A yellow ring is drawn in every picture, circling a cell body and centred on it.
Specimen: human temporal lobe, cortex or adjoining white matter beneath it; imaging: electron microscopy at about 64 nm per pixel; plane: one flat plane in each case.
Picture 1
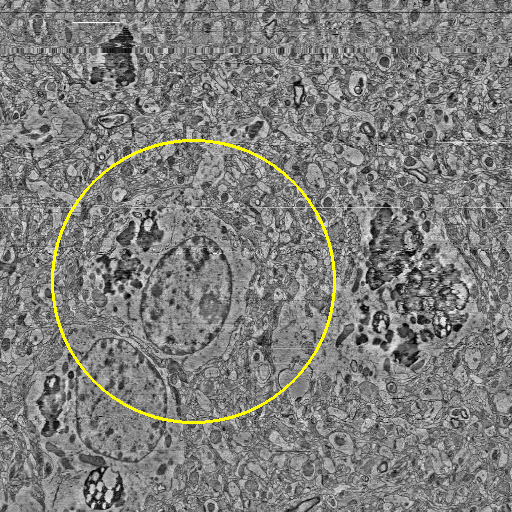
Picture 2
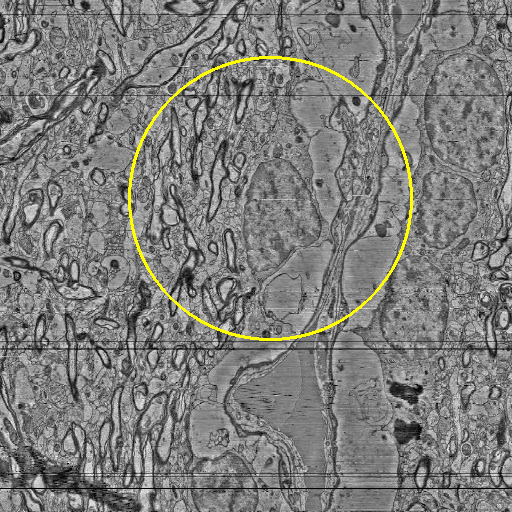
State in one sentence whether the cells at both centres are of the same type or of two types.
The cells at the two ring centres, one per picture, are of two types.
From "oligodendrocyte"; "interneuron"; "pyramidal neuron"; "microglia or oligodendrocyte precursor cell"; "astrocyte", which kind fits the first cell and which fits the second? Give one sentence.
The cell marked in the first picture is an astrocyte, and the one marked in the second is an oligodendrocyte.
